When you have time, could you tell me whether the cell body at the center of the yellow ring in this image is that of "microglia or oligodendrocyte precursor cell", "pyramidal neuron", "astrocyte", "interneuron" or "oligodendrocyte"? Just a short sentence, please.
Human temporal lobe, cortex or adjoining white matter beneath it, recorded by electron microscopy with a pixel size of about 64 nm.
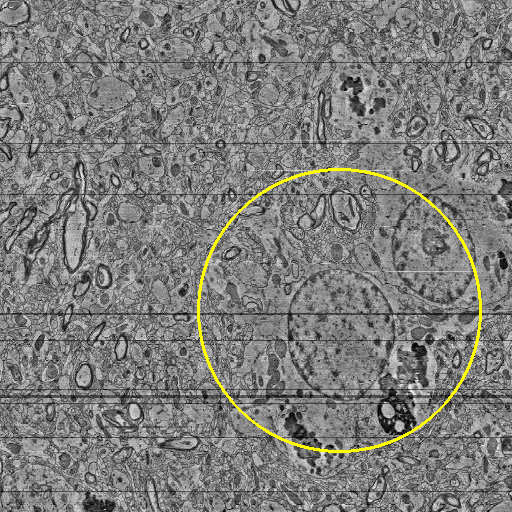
The cell body at the center of the ring is that of an astrocyte.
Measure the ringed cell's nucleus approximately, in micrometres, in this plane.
In this plane, the nucleus of the cell at the centre of the ring measures about 9 by 7 micrometres.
